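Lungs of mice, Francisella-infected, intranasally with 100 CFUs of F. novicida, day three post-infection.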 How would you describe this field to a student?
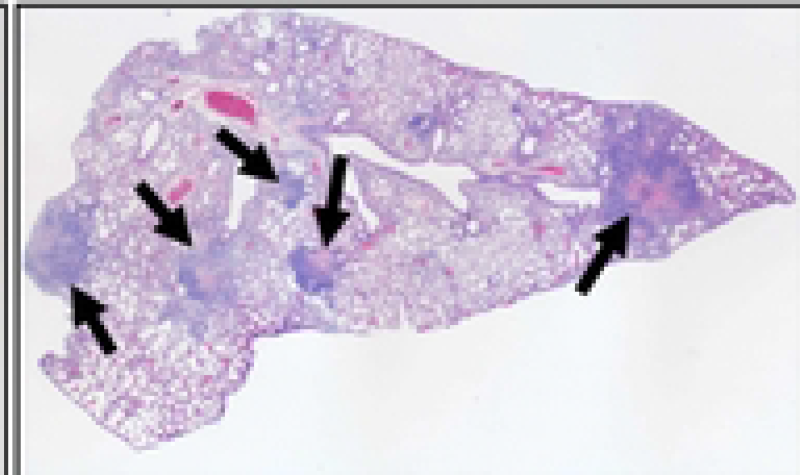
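The background is the pale, sponge-like alveolar tissue, with airways and vessels running through it as branching clear channels. Several arrows point to dense purple foci of varying size that interrupt this open pattern, the largest near the ends of the lobe. These foci are areas of necrotizing pyogranulomatous inflammation, some showing a pinker core within a darker purple border.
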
